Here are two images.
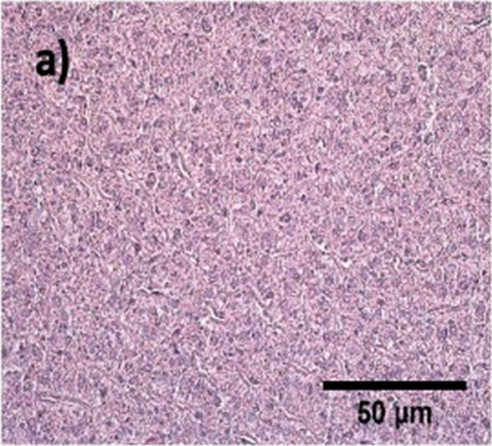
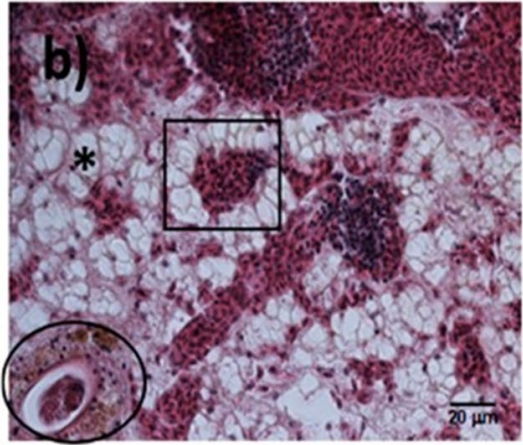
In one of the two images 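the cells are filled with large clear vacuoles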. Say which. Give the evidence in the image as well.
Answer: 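Second image: much of the tissue is replaced by large clear empty vacuoles. First image: uniform pink cells with no clear vacuoles.
Answer: the second image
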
